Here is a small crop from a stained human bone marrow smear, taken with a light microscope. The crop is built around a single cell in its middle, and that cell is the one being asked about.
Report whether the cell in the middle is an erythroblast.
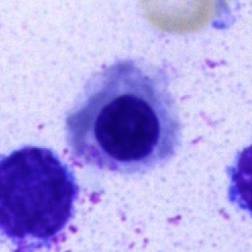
yes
